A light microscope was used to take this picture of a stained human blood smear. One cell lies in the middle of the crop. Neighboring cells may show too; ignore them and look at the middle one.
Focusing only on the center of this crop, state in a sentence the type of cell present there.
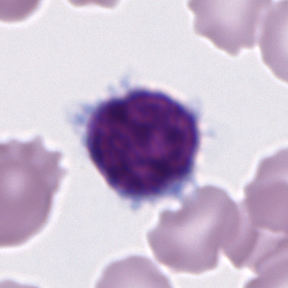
The cell of interest, located centrally, is a hairy cell.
